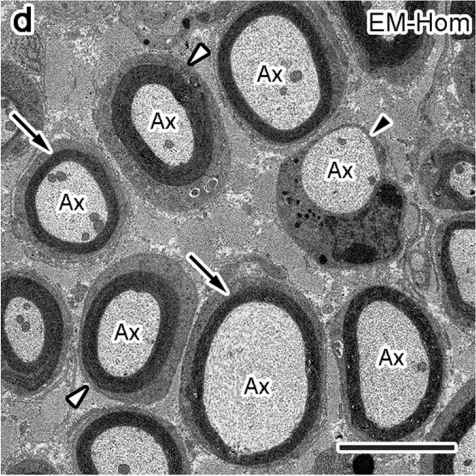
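Transverse section of peripheral nerve with axons of varied size, most wrapped by thin electron-dense compact myelin sheaths. The fibres lie loosely, with wide spaces of endoneurial matrix and cell processes between them.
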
